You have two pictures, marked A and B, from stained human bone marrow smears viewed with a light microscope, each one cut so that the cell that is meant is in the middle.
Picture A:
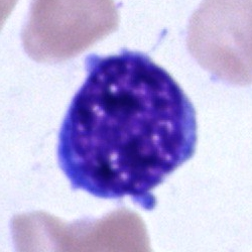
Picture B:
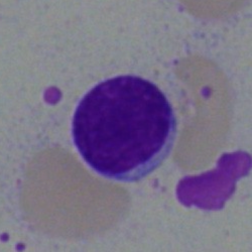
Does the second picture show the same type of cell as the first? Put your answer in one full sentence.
No, picture A shows a blast and picture B shows a lymphocyte.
